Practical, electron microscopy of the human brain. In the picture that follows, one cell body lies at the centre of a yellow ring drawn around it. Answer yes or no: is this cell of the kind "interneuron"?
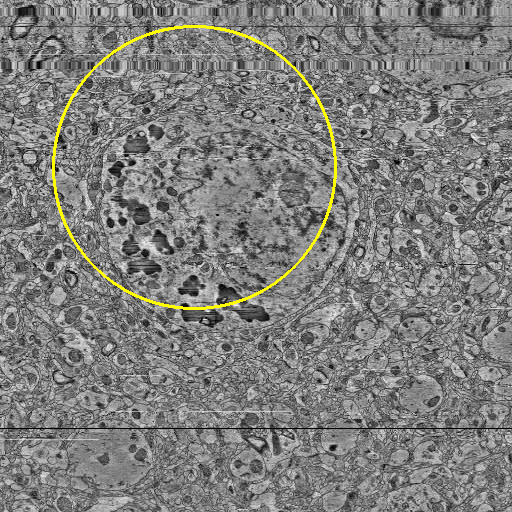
yes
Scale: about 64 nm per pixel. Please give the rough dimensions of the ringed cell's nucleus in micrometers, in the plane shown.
Roughly 12 by 9 micrometres is the size of the nucleus in this plane.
